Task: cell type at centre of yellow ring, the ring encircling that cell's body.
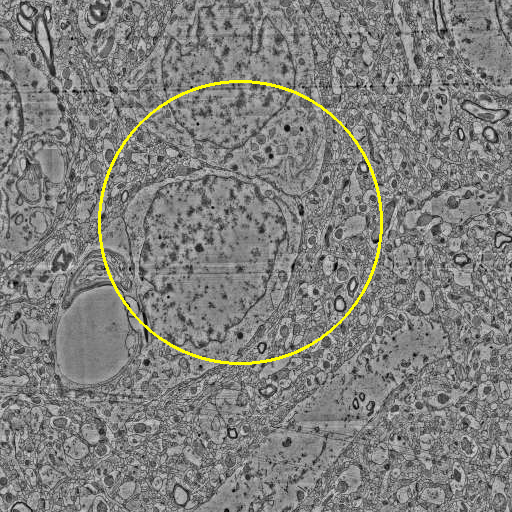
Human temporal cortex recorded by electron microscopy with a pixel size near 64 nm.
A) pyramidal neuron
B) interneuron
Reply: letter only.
B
